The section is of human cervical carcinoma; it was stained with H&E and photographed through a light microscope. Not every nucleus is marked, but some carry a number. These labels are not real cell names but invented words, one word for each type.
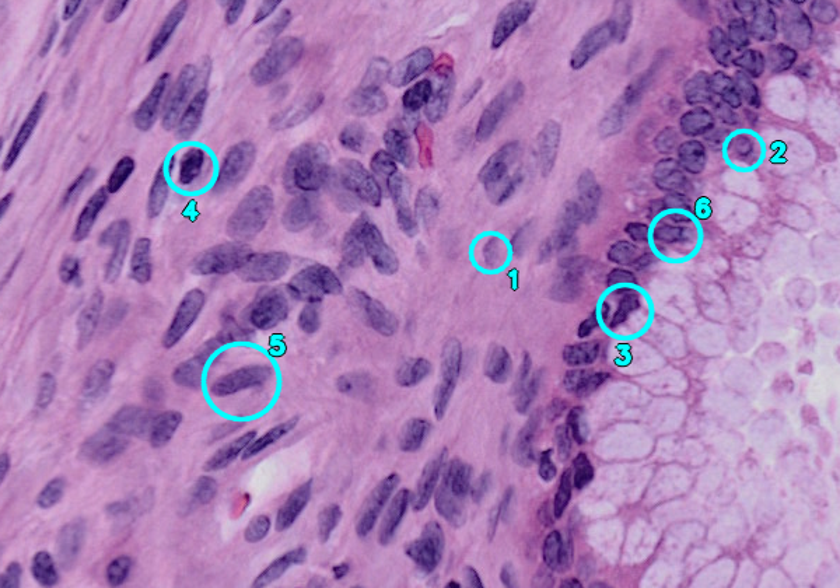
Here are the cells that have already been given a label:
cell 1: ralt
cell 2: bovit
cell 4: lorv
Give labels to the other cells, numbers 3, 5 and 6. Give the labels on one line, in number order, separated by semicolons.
bovit; ralt; bovit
